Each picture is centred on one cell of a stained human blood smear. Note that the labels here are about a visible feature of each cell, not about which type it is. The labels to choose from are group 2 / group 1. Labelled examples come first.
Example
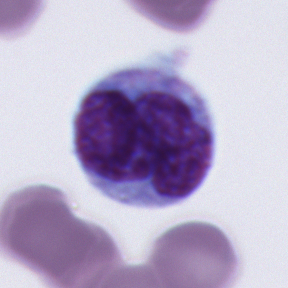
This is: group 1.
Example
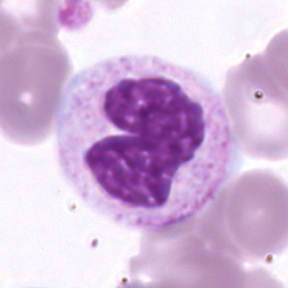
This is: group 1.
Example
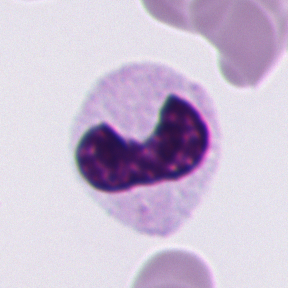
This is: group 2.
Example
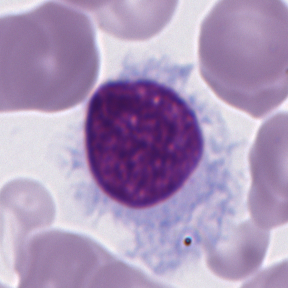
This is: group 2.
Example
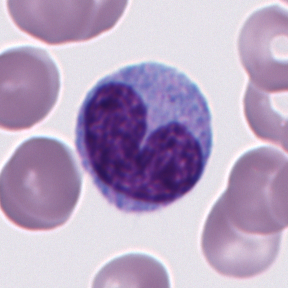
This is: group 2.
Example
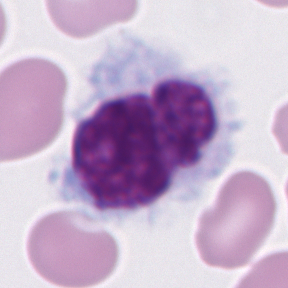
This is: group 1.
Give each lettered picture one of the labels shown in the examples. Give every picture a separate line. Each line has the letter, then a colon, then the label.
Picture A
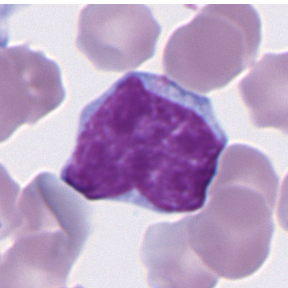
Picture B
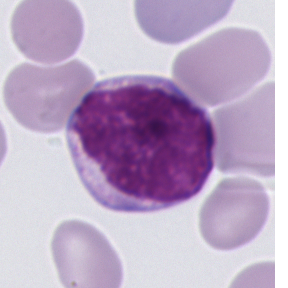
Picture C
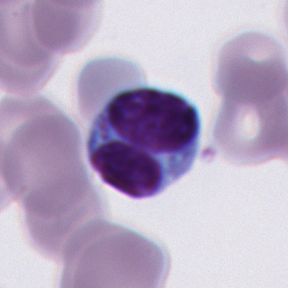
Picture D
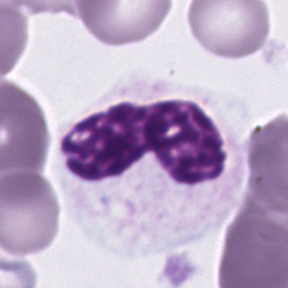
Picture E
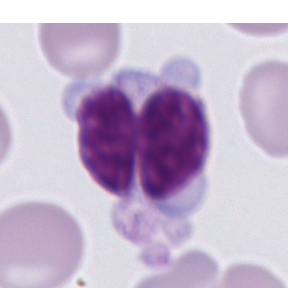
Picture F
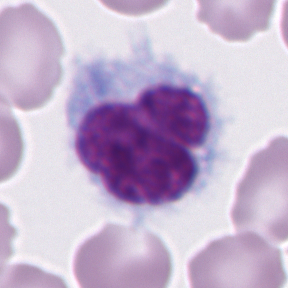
A: group 1.
B: group 2.
C: group 1.
D: group 1.
E: group 1.
F: group 1.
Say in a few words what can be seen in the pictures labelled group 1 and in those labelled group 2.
Seen in group 1: lobed nucleus; seen in group 2: single compact nucleus.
